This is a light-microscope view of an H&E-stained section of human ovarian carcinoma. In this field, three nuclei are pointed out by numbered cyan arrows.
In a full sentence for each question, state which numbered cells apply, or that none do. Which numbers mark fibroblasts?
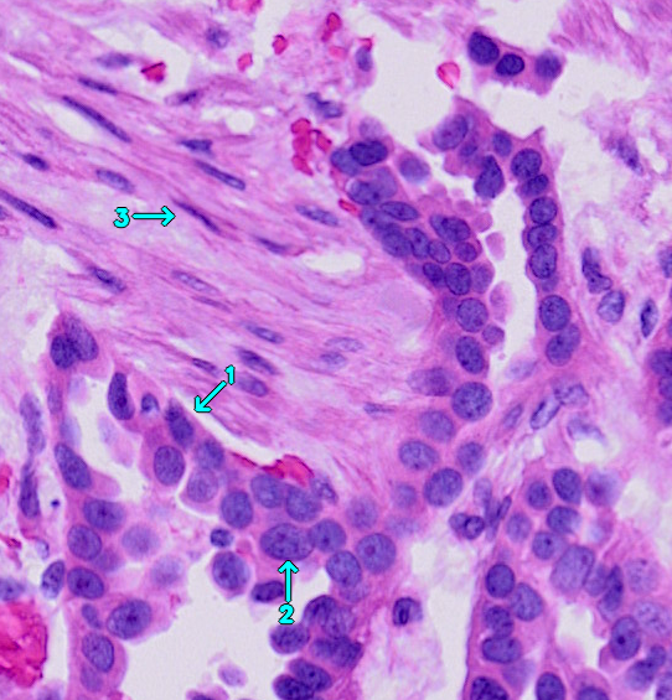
The numbered cell that is a fibroblast is cell 3, and it is the only one.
